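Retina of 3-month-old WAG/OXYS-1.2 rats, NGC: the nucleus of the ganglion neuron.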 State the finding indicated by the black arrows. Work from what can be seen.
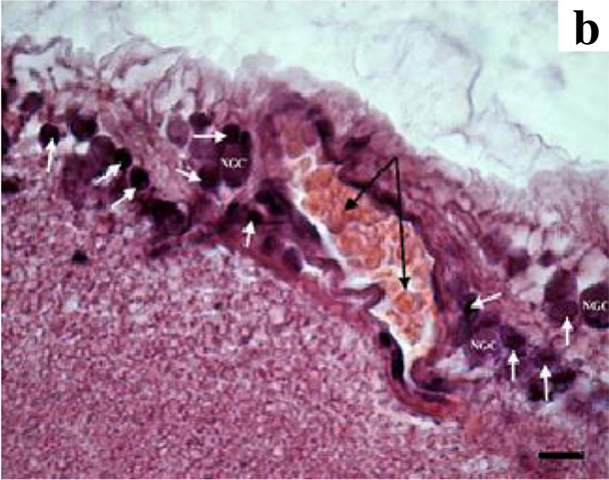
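Blood cells stasis. A widened vessel lumen is packed with orange-red blood cells. The vessel runs through the inner retina near the ganglion cell layer.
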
